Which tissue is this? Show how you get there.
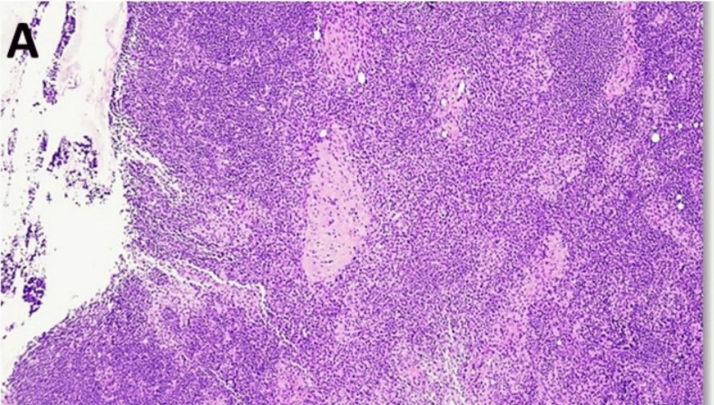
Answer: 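Densely packed small dark-staining lymphoid cells fill the tissue. Paler rounded areas sit within the dense cell population. The answer: lymph node.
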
